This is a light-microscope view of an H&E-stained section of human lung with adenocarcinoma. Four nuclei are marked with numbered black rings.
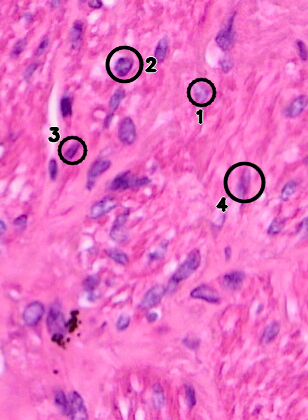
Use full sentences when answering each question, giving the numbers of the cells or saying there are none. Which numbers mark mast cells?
Being a mast cell is true of cell 2 and of no other numbered cell.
